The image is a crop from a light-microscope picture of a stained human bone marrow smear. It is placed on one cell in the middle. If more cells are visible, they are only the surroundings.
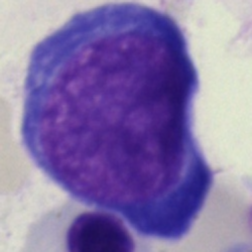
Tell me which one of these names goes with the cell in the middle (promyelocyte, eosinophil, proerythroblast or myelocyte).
proerythroblast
